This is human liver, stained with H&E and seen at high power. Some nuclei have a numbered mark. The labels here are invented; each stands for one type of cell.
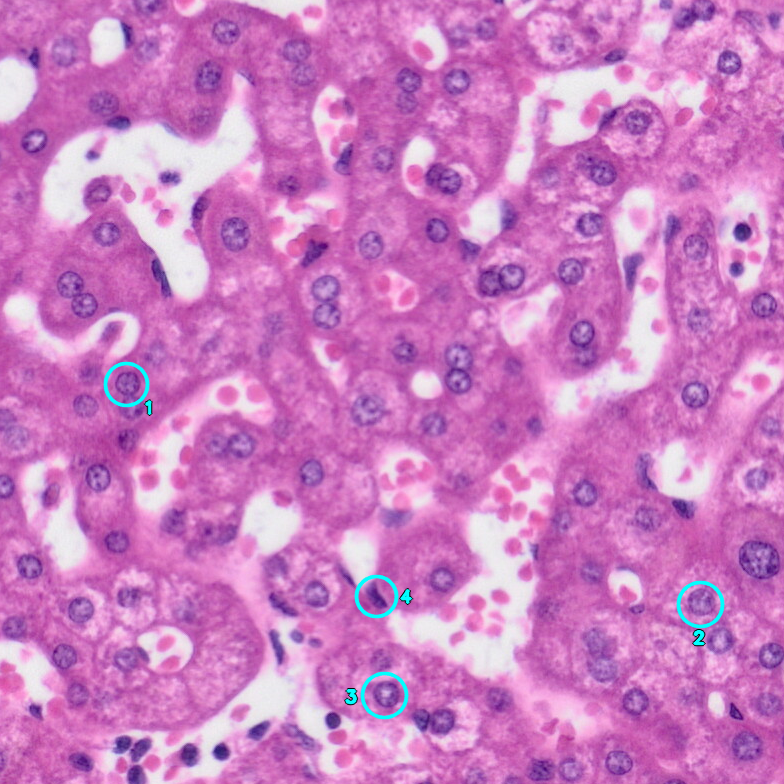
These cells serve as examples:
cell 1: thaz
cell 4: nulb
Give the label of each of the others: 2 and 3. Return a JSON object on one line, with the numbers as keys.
{"2": "thaz", "3": "thaz"}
